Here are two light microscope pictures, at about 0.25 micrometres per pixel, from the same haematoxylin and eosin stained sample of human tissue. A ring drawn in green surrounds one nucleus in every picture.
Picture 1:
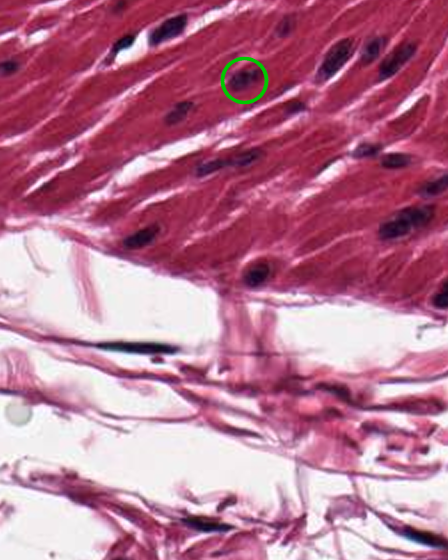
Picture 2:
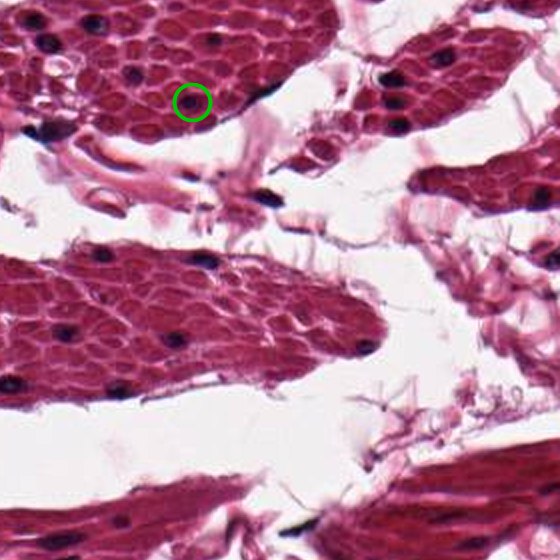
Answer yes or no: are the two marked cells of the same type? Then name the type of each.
Yes, both are smooth muscle cells.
